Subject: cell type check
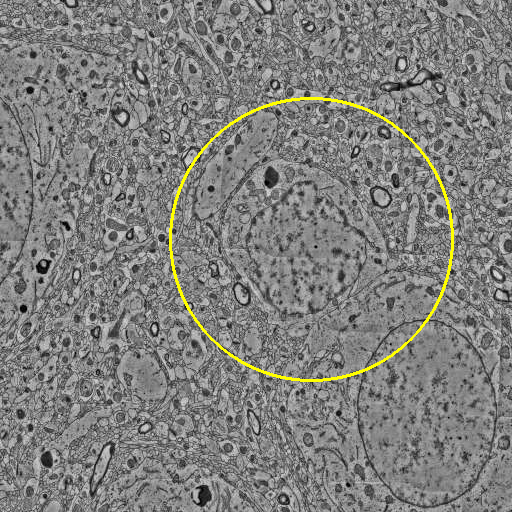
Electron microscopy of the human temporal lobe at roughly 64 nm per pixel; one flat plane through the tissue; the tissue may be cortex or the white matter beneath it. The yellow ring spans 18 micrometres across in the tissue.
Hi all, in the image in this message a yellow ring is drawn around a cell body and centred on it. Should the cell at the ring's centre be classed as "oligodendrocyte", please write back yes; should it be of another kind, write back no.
no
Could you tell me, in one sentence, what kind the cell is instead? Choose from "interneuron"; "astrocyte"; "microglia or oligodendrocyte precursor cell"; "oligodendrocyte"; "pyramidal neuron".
The cell at the ring centre is an interneuron.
